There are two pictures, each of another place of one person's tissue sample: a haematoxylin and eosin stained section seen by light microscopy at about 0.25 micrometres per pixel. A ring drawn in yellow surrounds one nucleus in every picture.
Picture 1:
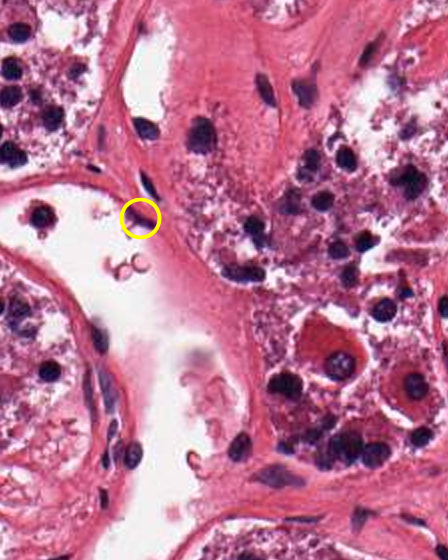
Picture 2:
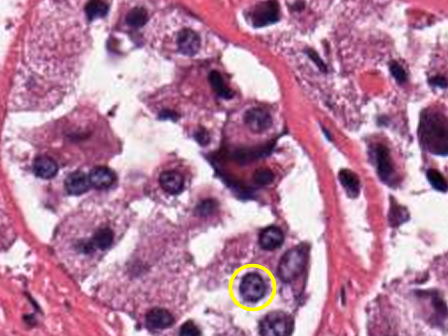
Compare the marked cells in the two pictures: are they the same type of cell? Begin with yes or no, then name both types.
No, the first is an endothelial cell and the second an anterior pituitary cell.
